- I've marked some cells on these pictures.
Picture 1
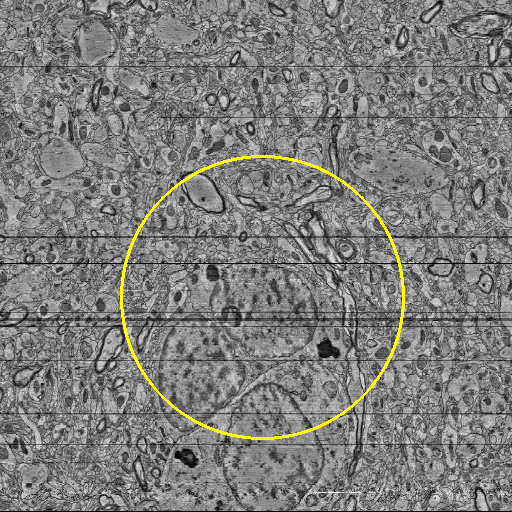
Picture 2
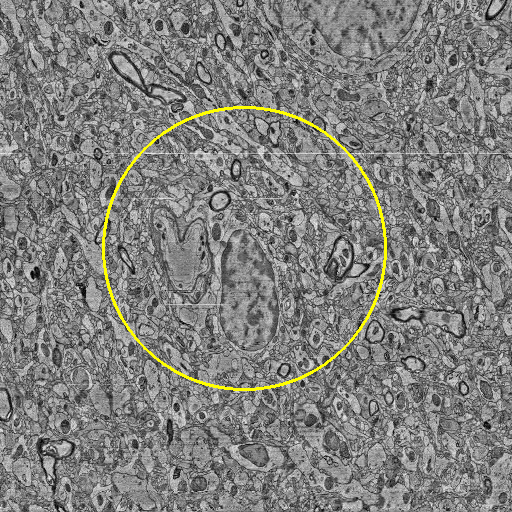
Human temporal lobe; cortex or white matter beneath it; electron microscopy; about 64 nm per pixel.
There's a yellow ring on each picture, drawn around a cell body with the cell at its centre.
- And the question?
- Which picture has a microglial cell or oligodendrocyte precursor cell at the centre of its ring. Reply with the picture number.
2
